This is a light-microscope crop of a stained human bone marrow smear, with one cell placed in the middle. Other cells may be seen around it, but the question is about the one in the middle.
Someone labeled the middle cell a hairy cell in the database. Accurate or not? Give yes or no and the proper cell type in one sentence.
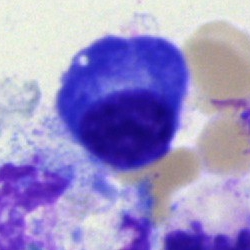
No, the central cell is classed as a plasma cell, not a hairy cell.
